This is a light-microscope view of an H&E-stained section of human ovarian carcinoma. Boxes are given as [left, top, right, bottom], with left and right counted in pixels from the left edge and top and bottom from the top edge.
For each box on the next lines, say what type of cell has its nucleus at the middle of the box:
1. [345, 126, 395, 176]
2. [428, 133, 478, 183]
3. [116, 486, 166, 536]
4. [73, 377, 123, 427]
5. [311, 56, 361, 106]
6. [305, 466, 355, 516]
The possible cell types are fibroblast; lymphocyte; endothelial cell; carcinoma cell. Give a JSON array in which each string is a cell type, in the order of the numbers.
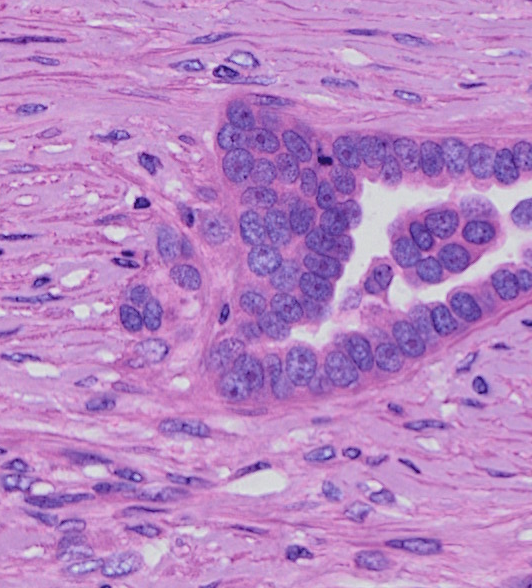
["carcinoma cell", "carcinoma cell", "fibroblast", "fibroblast", "fibroblast", "fibroblast"]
